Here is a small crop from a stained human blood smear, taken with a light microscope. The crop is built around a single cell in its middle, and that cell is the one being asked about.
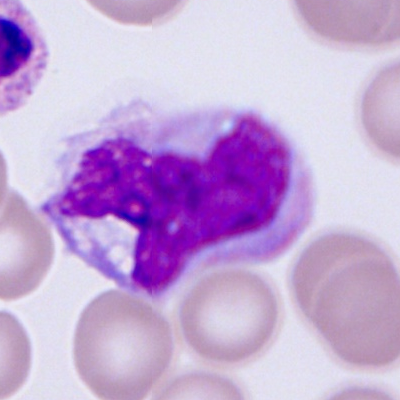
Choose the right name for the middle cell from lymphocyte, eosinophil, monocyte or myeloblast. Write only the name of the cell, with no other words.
monocyte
